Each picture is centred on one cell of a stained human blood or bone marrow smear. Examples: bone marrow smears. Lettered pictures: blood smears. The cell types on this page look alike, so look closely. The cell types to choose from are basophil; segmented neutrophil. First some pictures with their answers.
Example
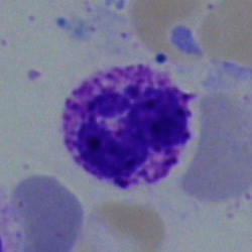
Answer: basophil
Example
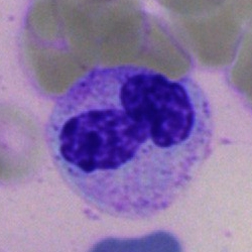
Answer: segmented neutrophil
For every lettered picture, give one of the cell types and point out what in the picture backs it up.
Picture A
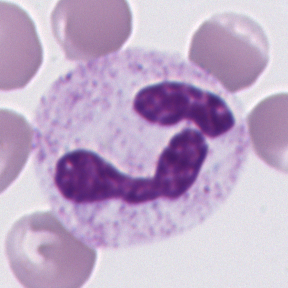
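segmented neutrophil. Evidence: The cytoplasm is abundant and pale pinkish-lilac.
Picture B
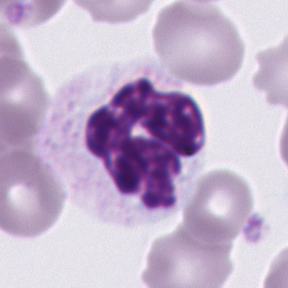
segmented neutrophil. Evidence: Fine lilac granules are scattered through the cytoplasm.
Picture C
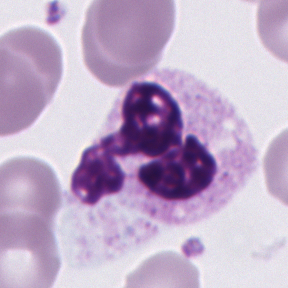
segmented neutrophil. Evidence: The cytoplasm holds fine, scattered lilac granules.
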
